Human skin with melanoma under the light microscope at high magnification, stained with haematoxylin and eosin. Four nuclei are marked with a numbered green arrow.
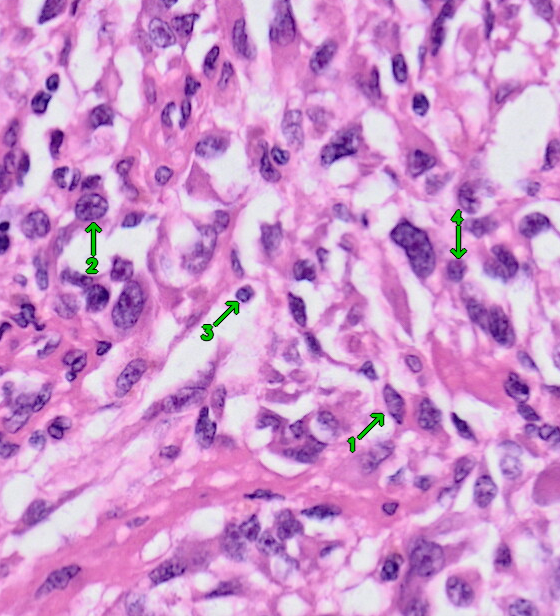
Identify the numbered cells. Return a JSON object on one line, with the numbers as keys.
{"1": "macrophage or monocyte", "2": "melanoma cell", "3": "lymphocyte", "4": "melanoma cell"}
